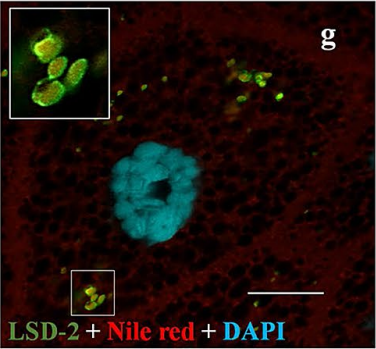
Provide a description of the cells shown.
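A large cyan nucleus sits in the middle; its chromatin forms thick lobed segments arranged in a ring around a dark centre. The cytoplasm has a fine red reticular texture. Scattered in it are small clusters of oval droplets, each with a green rim around a red-yellow core, seen enlarged in the inset; a few lone green dots lie elsewhere. The droplets are few and small relative to the cell.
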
